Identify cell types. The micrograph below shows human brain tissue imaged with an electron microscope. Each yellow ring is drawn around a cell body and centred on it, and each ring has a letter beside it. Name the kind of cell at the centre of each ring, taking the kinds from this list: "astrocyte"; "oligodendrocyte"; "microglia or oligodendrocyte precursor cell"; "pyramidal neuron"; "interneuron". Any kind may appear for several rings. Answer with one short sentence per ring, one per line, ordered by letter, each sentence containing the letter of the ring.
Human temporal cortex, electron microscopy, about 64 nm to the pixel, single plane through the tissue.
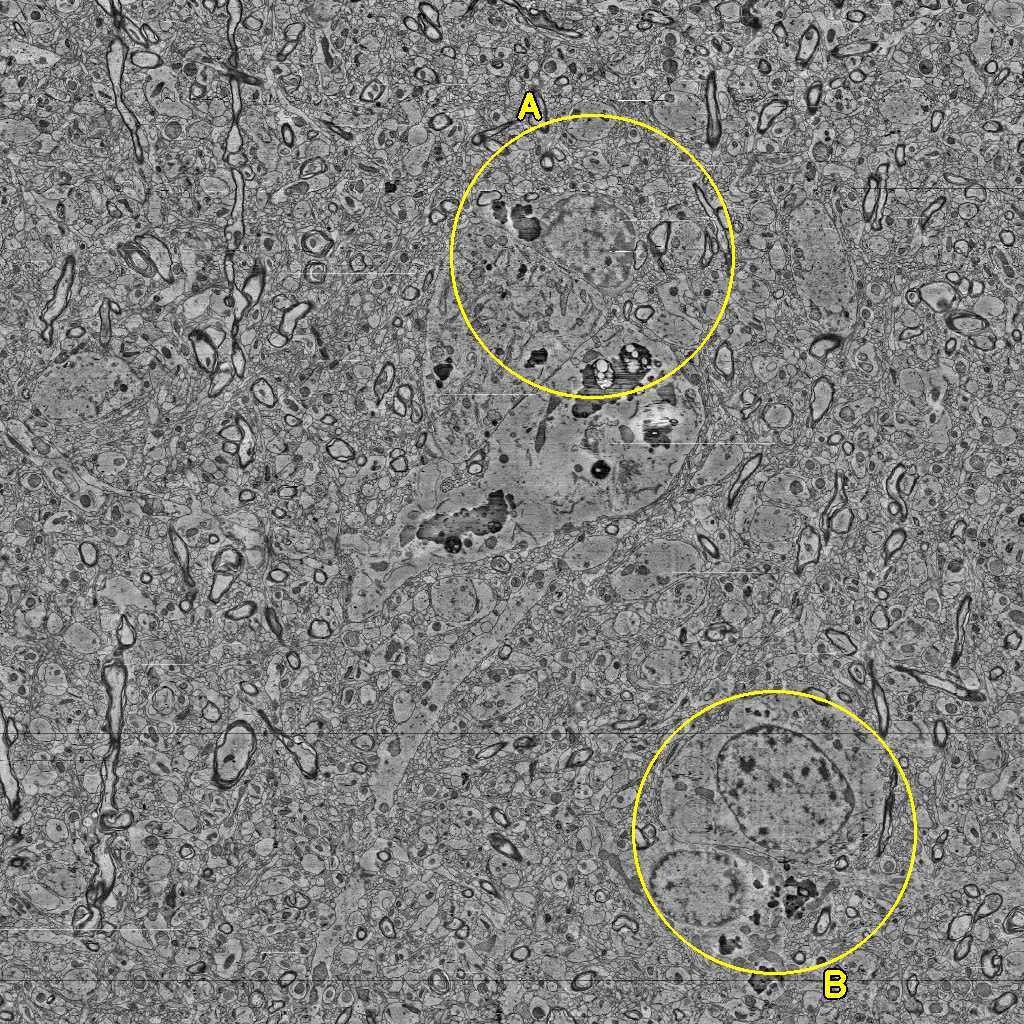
Ring A marks an oligodendrocyte.
Ring B marks an astrocyte.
